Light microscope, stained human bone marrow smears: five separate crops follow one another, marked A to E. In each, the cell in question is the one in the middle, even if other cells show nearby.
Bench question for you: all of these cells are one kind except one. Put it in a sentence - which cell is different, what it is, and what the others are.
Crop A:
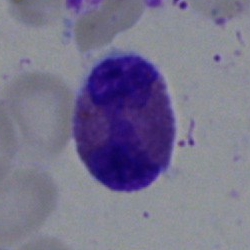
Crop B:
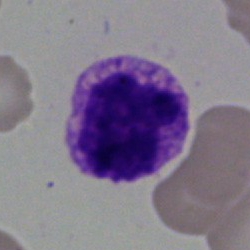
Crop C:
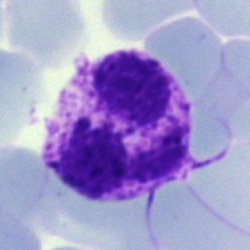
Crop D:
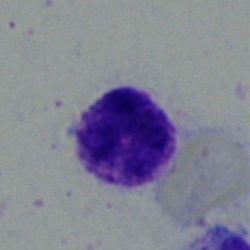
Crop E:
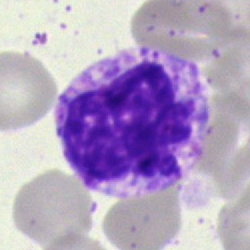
Crop A, showing an eosinophil, is the exception; the others all show basophils.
